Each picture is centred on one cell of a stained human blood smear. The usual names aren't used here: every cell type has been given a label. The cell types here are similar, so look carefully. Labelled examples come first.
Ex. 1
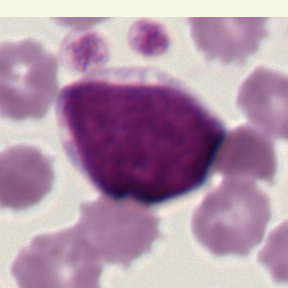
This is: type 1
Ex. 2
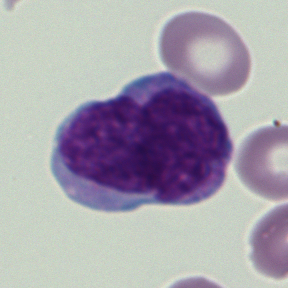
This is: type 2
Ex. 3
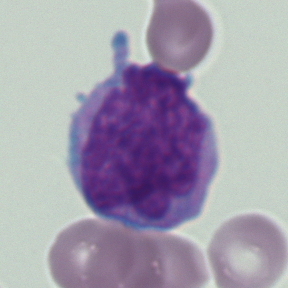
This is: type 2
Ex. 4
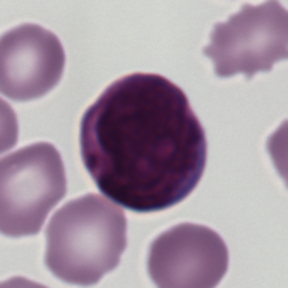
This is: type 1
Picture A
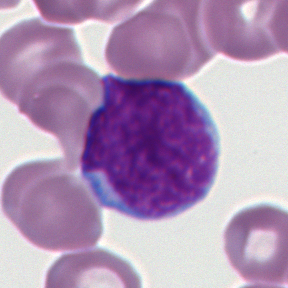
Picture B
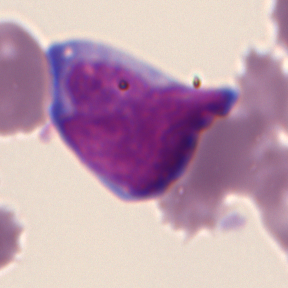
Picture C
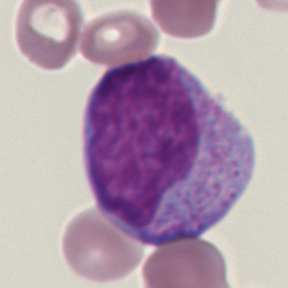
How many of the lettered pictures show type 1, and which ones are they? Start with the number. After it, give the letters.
2, namely A, B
